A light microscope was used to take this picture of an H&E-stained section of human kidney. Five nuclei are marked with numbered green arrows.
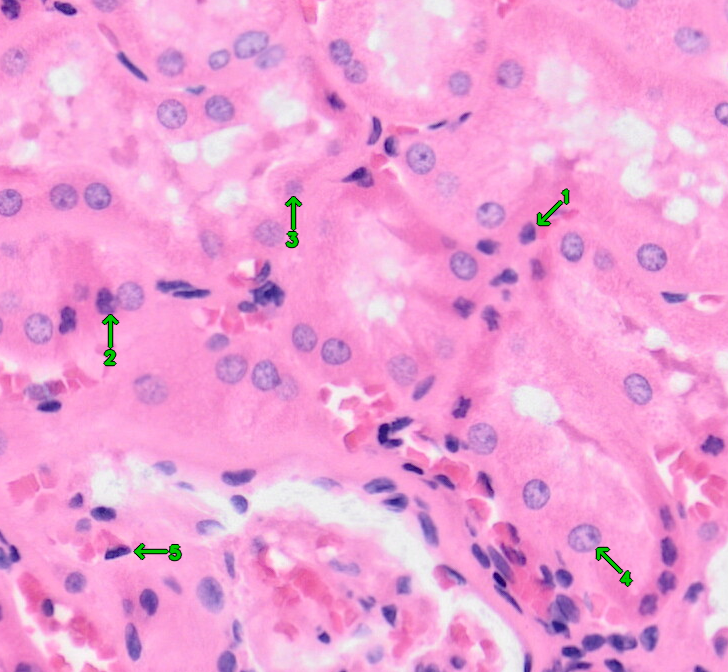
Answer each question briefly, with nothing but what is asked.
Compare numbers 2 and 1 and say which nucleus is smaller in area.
1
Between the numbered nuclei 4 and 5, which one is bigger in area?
4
